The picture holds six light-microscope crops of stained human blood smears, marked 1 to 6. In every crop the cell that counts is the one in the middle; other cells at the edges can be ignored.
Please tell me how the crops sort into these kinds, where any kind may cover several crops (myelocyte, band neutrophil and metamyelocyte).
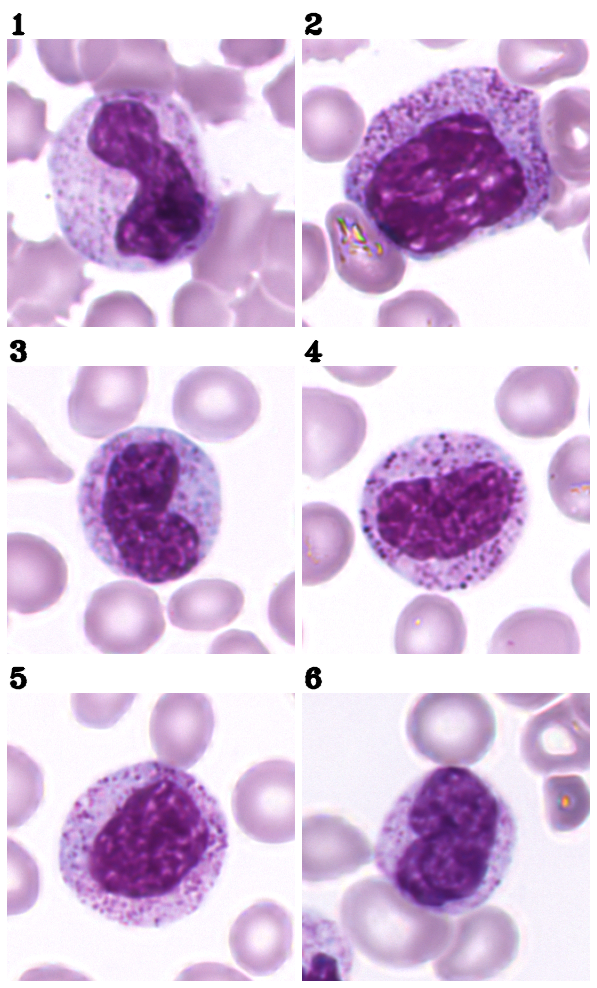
1: band neutrophil
2: myelocyte
3: band neutrophil
4: metamyelocyte
5: metamyelocyte
6: metamyelocyte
